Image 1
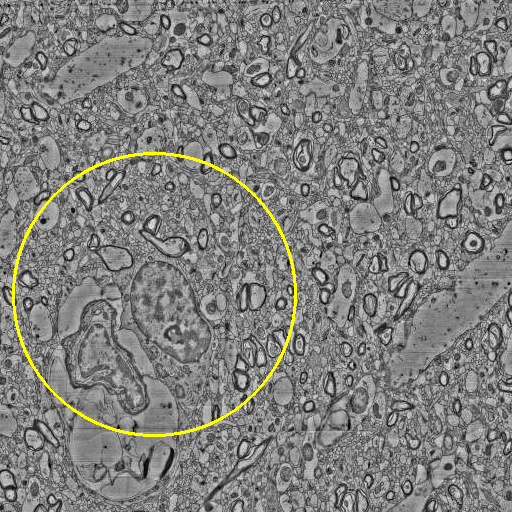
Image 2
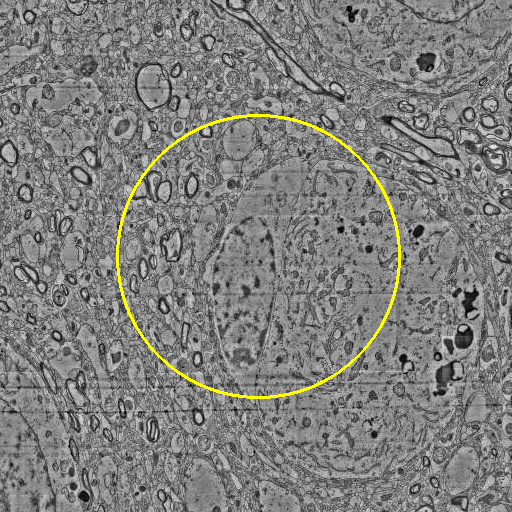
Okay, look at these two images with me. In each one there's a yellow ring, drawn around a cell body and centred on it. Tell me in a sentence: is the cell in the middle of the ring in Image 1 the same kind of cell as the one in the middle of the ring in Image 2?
No, they're two kinds of cell.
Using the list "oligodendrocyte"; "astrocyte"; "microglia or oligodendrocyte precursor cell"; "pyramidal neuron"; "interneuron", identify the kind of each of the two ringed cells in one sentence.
The first is an oligodendrocyte and the second is a microglial cell or oligodendrocyte precursor cell.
